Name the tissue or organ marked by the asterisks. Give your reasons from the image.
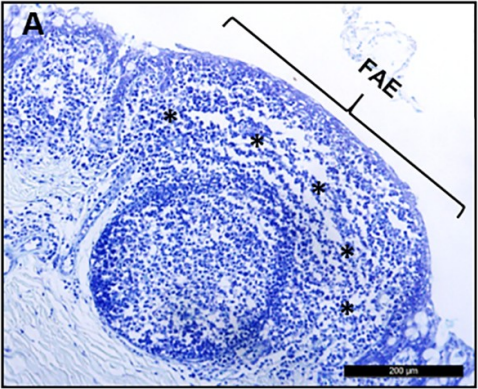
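The asterisks lie in a band of loosely scattered small dark-nucleated round cells. This band has no sharp border and lies between the surface and a round dense cell aggregate. On this evidence: diffuse lymphoid tissue.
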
